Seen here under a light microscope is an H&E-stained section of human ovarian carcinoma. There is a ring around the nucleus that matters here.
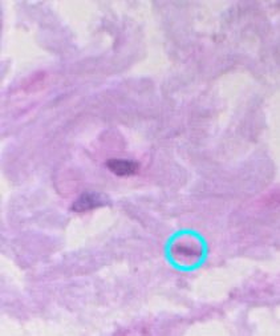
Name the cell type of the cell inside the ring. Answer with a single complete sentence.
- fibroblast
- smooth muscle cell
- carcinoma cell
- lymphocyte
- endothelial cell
The cell meant here is a fibroblast.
